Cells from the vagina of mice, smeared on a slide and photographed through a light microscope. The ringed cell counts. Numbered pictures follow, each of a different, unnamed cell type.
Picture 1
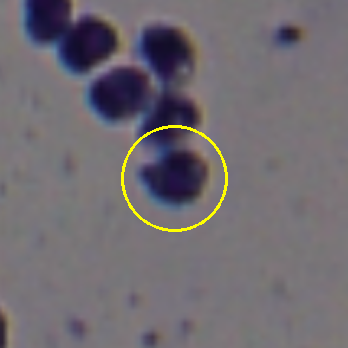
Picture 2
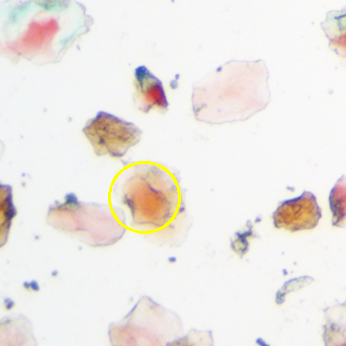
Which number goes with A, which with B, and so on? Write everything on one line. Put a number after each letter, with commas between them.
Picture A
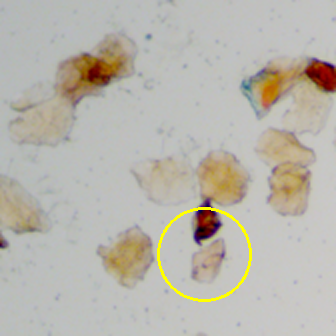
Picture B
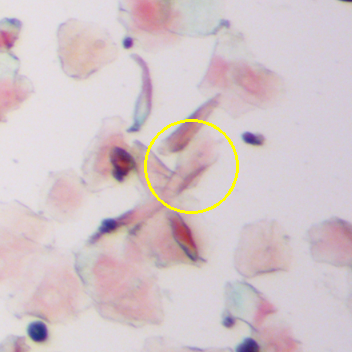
A 2, B 2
